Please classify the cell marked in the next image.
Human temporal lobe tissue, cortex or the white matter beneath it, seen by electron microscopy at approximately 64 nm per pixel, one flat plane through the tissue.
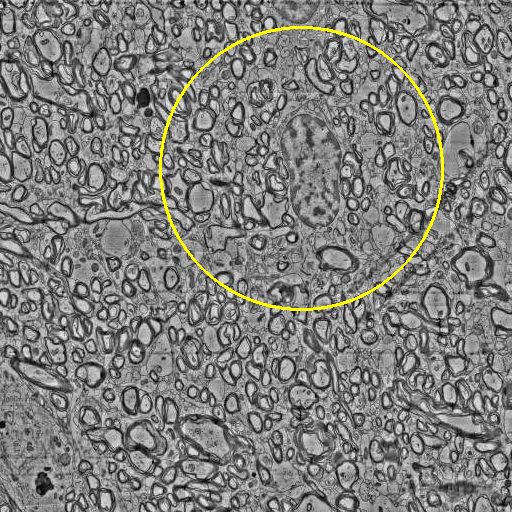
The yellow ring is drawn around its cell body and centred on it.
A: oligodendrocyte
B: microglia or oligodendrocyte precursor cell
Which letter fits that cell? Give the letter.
B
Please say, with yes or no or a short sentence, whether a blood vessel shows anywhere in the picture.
No.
